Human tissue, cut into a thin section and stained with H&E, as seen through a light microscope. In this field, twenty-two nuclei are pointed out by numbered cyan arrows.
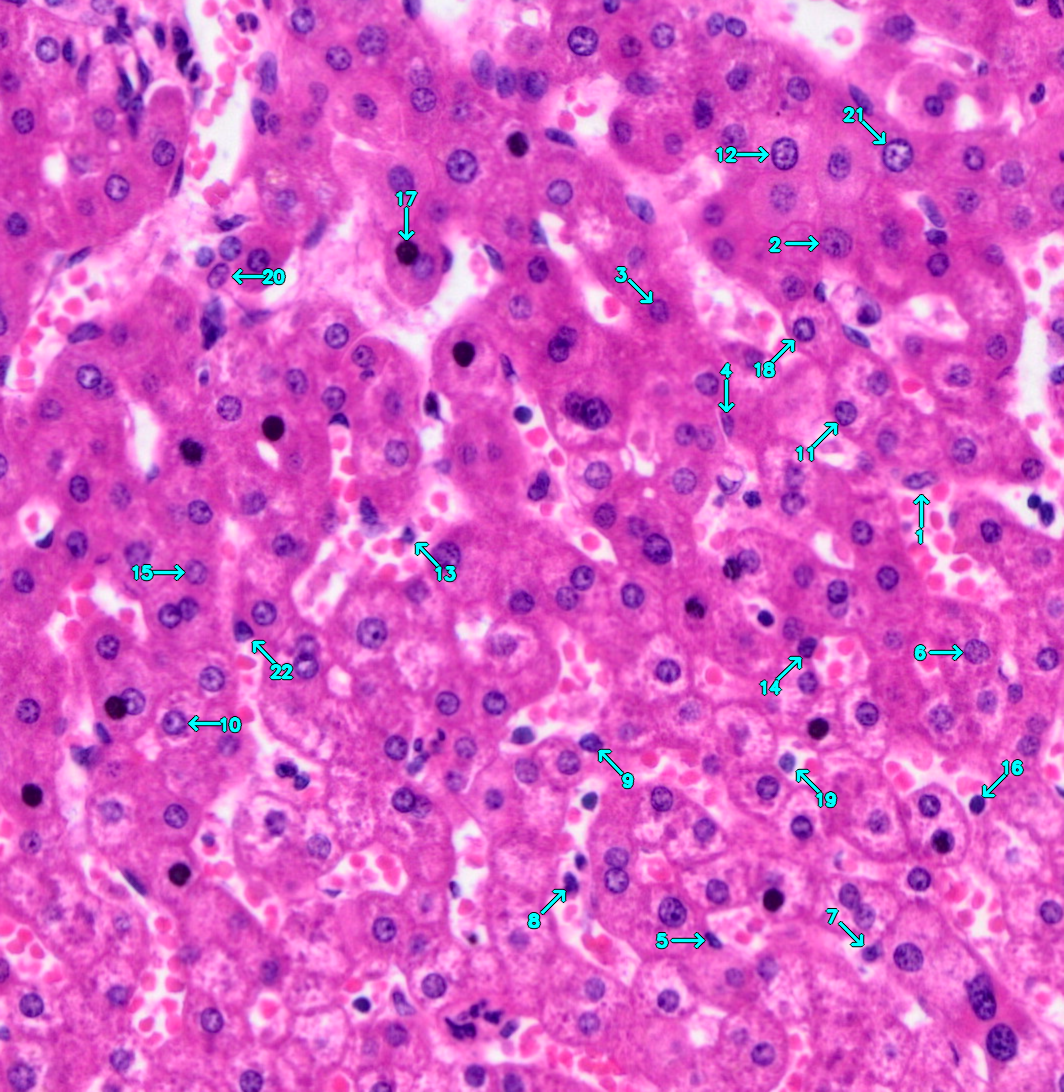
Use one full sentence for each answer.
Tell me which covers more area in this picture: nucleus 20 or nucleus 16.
Of the two, number 20 is bigger and takes up about 1.5 times the area of number 16.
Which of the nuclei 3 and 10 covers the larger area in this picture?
Of the two, number 10 is bigger and takes up about 1.5 times the area of number 3.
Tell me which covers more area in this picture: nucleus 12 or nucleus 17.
Nucleus 12 covers more area, about 1.5 times as much as nucleus 17.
